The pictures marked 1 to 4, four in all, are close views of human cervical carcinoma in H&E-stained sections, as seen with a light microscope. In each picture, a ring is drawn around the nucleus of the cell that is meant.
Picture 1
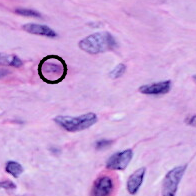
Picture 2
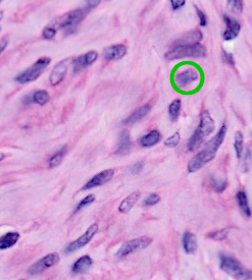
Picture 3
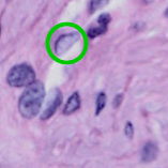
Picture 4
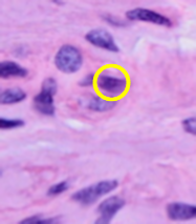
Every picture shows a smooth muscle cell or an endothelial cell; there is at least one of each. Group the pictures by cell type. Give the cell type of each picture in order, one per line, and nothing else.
smooth muscle cell
smooth muscle cell
endothelial cell
endothelial cell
